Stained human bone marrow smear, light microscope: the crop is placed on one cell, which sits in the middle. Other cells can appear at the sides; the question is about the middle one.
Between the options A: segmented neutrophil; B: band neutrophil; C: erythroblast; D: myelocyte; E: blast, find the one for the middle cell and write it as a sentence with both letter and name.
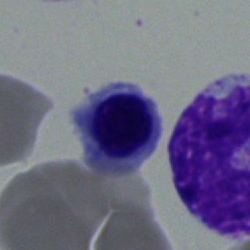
The central cell is an erythroblast, which makes option C the right answer.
